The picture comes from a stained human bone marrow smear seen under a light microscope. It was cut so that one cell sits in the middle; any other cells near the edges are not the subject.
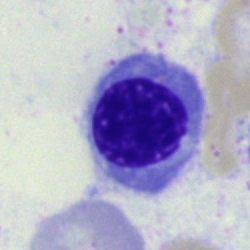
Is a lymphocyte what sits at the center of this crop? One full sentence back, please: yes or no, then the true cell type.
No, rather than a lymphocyte, the central cell is a normoblast.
